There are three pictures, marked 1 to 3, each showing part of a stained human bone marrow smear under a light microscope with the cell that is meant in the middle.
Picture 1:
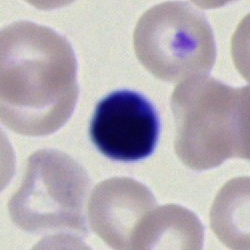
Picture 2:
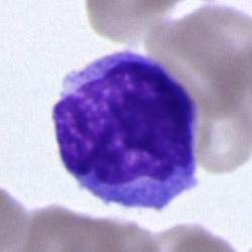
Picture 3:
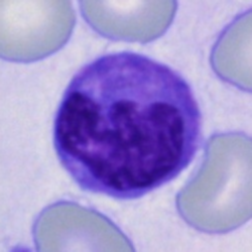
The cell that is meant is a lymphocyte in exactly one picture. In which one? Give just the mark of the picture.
1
